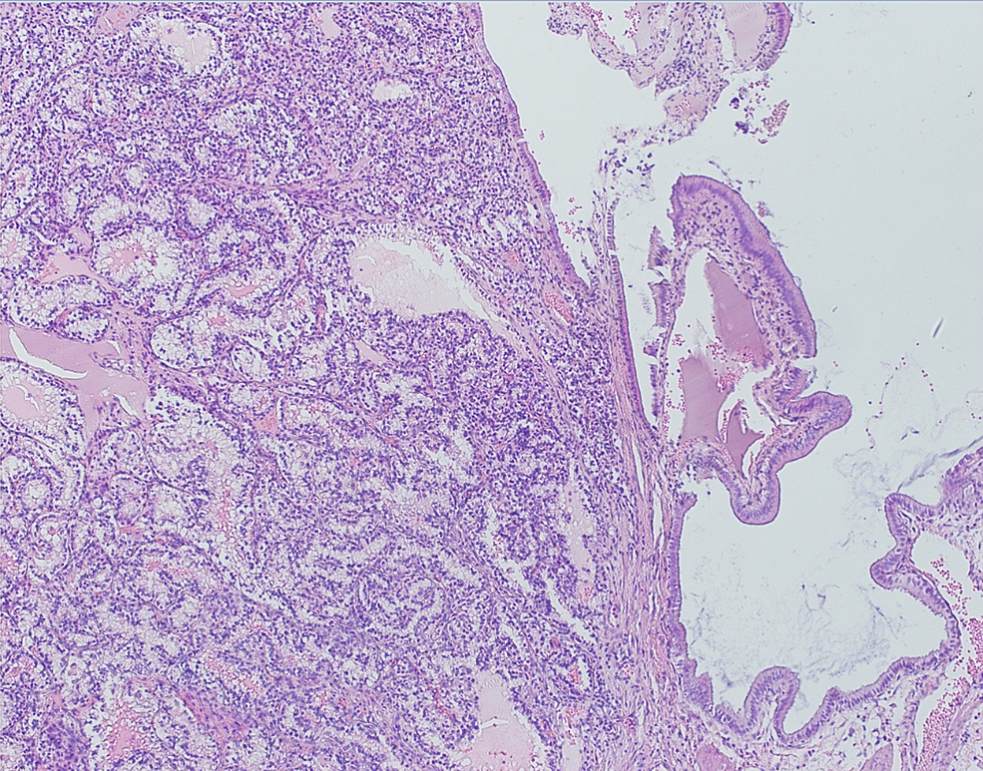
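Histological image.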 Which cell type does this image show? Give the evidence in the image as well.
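Much of the left side is taken up by groups of cells with pale, empty-looking cytoplasm. The cells have sharply drawn cell borders. The cells lie in rounded groups separated by thin fibrovascular septa.
Answer: tumor cells with clear cytoplasm and prominent membranes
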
